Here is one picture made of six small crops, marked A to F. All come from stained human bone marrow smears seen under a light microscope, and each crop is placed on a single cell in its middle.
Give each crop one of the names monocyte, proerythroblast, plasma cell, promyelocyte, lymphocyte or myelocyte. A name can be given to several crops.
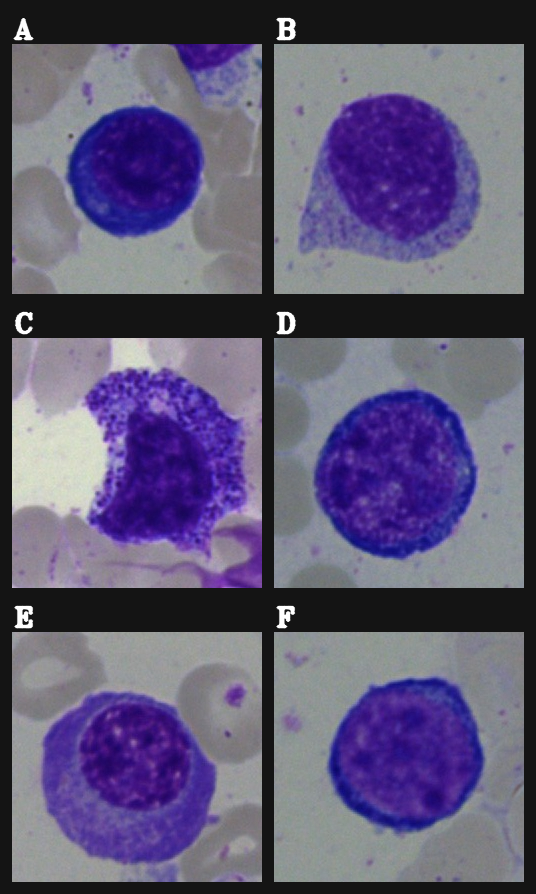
A: proerythroblast
B: myelocyte
C: promyelocyte
D: proerythroblast
E: plasma cell
F: proerythroblast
